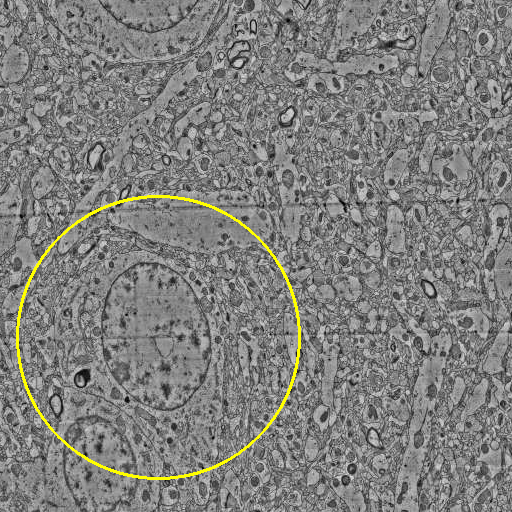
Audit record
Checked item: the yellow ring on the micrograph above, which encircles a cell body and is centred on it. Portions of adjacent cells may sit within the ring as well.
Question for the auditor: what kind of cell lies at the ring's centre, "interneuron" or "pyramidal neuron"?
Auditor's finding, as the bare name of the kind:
pyramidal neuron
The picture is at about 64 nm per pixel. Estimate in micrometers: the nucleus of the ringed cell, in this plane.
The ringed cell's nucleus is about 10 micrometres long and 7 micrometres wide in this plane.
